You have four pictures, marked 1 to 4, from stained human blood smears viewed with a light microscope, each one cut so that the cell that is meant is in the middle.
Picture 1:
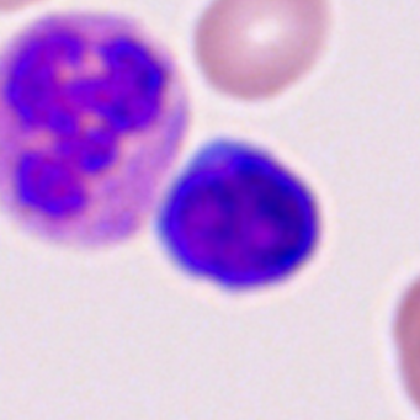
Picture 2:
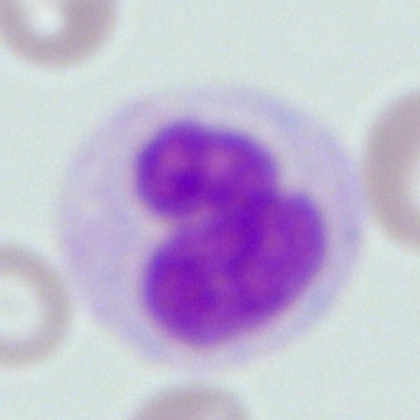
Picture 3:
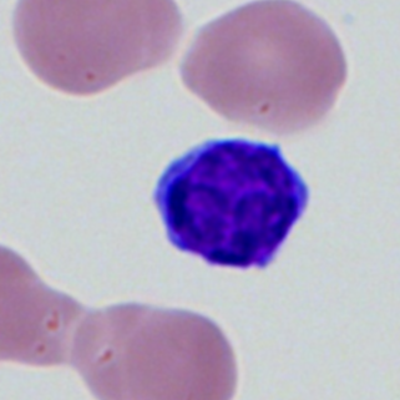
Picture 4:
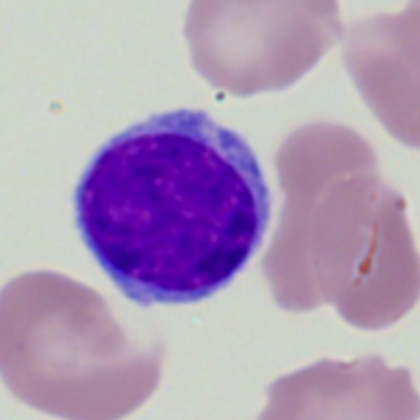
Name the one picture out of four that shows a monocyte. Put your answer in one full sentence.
Picture 2 shows the monocyte.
